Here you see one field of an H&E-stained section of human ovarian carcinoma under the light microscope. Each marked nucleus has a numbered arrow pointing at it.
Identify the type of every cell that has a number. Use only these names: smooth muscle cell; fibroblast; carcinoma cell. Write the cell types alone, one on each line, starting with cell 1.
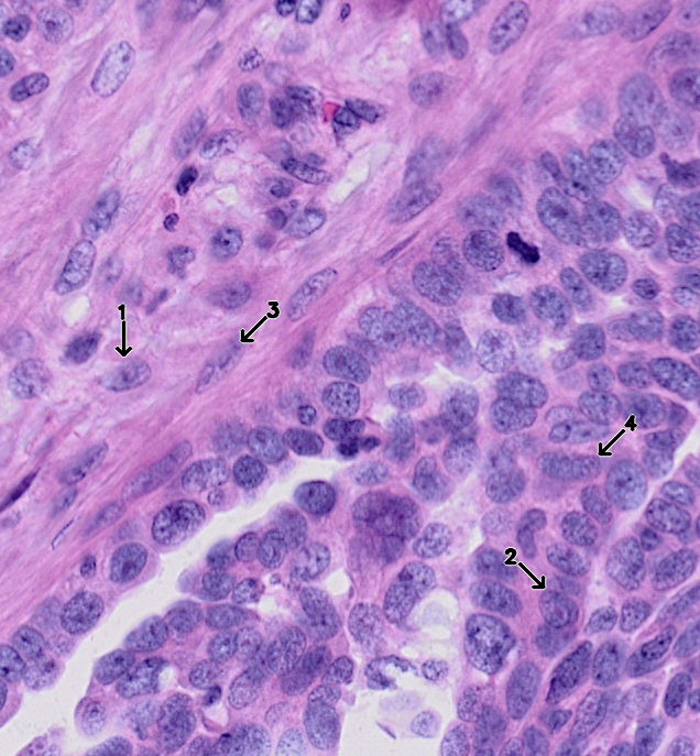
fibroblast
carcinoma cell
fibroblast
carcinoma cell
